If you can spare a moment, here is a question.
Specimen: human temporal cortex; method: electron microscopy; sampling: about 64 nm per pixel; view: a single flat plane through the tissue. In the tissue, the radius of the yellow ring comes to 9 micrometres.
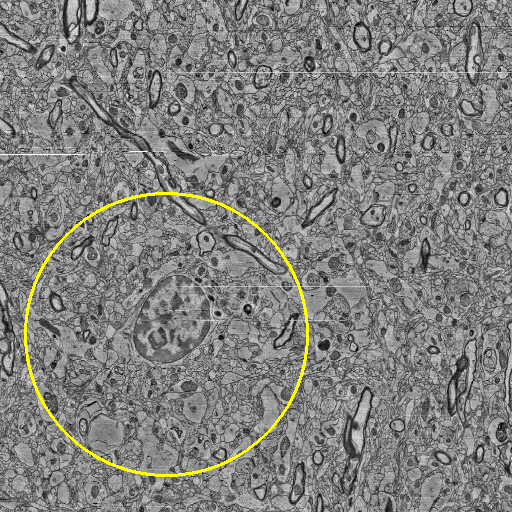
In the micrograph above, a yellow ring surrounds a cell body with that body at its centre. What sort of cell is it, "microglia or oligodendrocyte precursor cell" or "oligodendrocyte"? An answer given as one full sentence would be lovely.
Centred inside the yellow ring, the cell body shown belongs to a microglial cell or oligodendrocyte precursor cell in this micrograph.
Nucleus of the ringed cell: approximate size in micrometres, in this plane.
Approximately 6 by 4 micrometers in this plane.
